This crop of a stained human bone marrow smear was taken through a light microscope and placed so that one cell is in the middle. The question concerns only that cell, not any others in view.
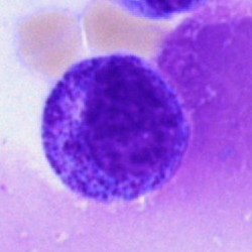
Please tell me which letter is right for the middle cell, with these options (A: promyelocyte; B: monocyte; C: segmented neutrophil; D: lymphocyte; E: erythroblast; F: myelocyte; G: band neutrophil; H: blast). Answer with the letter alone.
A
